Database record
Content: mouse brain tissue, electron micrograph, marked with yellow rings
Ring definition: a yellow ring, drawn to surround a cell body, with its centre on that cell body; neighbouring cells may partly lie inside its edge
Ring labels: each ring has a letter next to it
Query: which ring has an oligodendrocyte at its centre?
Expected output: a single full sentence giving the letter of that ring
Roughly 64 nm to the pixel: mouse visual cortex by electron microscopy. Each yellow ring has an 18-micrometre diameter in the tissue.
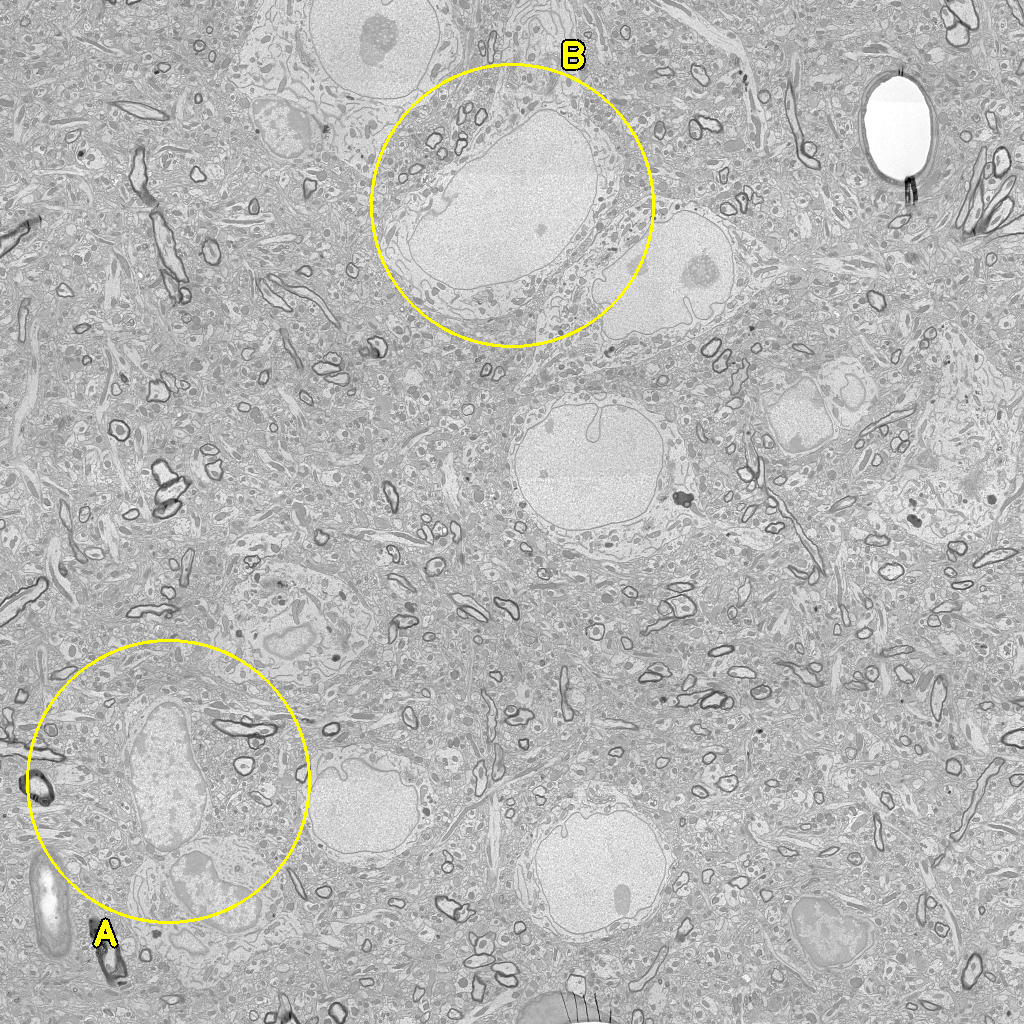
In the picture, the cell being queried lies at the centre of ring A.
